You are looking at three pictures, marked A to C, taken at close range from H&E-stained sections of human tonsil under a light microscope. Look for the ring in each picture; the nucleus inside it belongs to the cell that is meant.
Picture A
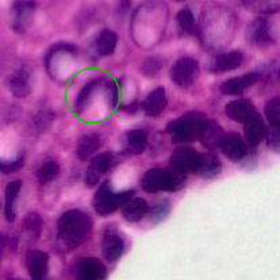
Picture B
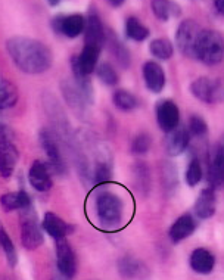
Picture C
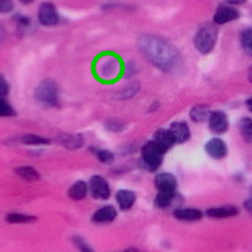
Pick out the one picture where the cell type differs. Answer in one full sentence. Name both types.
Picture A is the odd one out: it shows a squamous epithelial cell, while the others show endothelial cells.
